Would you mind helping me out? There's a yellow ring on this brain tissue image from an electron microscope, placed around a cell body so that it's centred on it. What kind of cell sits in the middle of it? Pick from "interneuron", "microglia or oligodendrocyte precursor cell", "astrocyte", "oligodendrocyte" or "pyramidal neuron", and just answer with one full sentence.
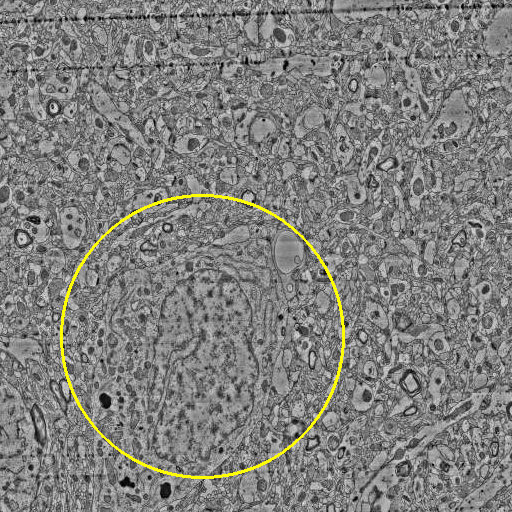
What sits in the middle of that yellow ring is an interneuron, from your choices.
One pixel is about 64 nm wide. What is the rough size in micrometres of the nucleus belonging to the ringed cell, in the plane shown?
Approximately 12 micrometres long and 7 micrometres wide, in this plane.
